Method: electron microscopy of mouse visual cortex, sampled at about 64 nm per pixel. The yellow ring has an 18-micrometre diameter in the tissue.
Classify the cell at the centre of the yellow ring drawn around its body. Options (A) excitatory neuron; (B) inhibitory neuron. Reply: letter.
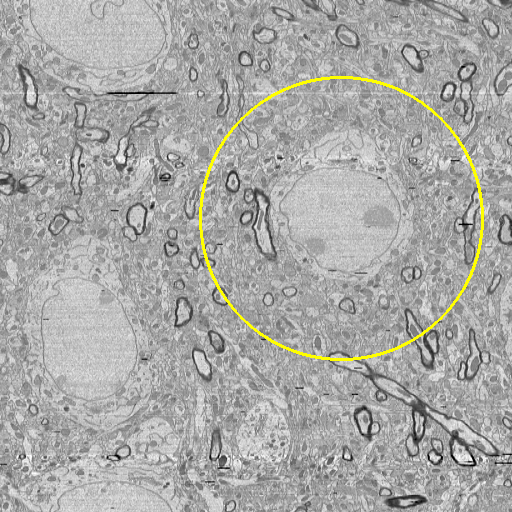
A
